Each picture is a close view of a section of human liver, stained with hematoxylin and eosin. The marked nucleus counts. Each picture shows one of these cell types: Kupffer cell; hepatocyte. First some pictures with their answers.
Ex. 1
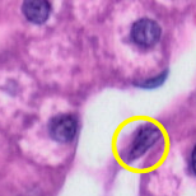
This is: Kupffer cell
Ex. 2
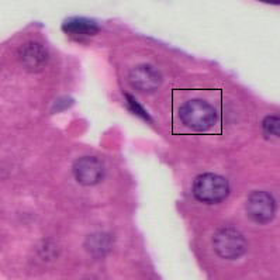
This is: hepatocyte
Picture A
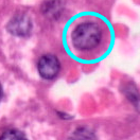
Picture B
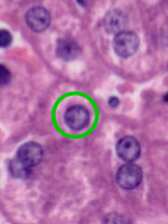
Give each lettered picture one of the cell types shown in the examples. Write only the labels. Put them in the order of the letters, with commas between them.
hepatocyte, hepatocyte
